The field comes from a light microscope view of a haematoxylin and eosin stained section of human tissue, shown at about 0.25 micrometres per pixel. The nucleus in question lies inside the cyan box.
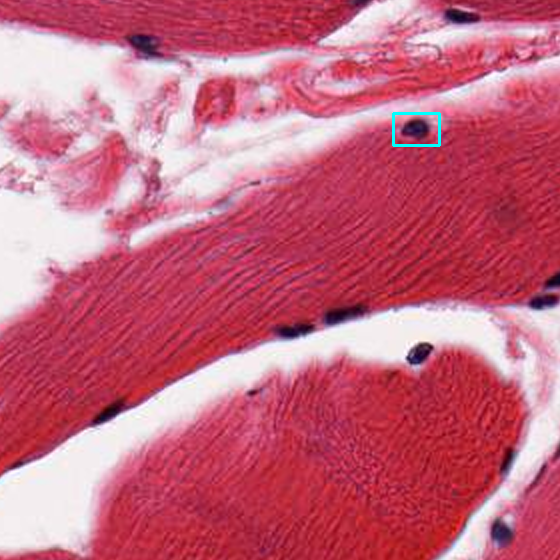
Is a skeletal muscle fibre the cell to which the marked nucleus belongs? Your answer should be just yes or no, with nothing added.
yes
